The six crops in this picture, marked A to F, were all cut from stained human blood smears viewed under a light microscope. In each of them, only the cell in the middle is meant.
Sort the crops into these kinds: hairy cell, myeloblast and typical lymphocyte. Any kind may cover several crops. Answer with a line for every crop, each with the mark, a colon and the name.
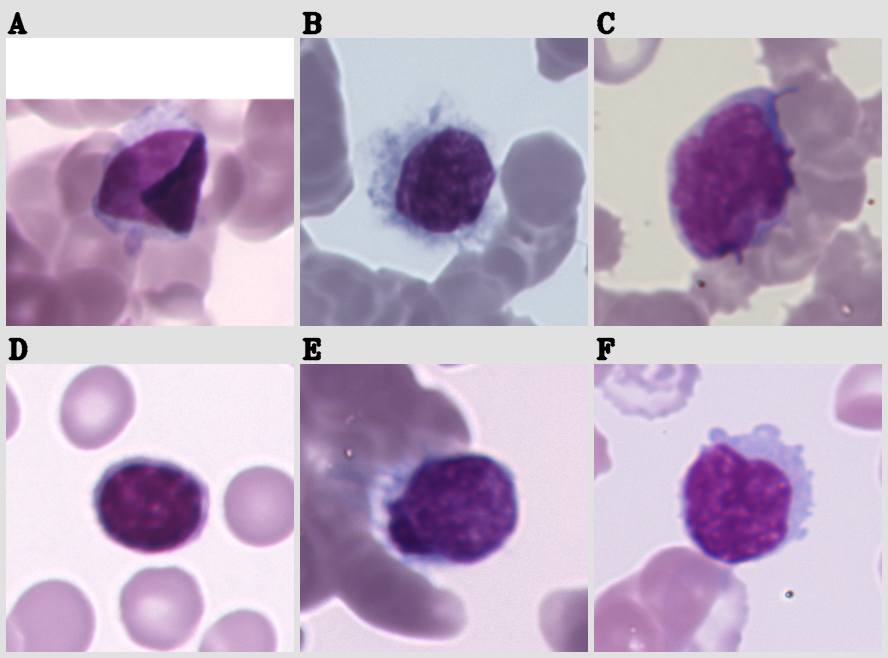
A: typical lymphocyte
B: hairy cell
C: myeloblast
D: typical lymphocyte
E: hairy cell
F: typical lymphocyte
